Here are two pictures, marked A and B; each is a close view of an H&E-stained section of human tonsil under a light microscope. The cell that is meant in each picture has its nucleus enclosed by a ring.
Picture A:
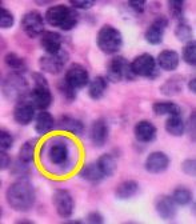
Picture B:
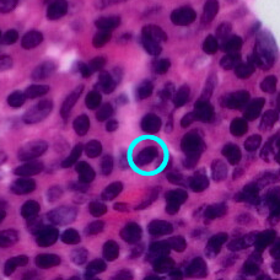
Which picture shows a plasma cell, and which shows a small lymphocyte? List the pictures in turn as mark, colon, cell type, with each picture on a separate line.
A: small lymphocyte
B: plasma cell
